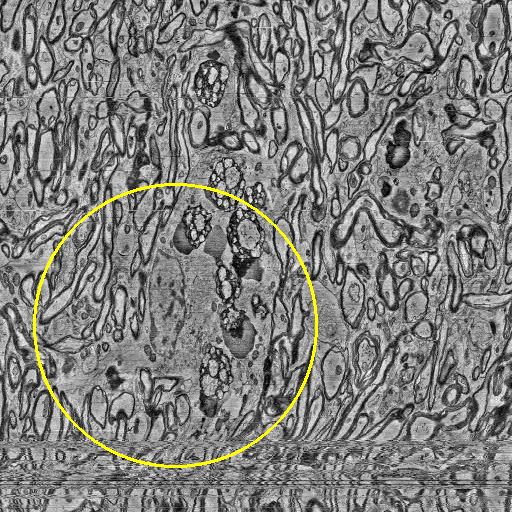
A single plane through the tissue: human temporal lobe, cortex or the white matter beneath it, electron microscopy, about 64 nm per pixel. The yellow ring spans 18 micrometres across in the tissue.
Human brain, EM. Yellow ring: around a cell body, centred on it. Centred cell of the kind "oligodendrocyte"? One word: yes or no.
no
